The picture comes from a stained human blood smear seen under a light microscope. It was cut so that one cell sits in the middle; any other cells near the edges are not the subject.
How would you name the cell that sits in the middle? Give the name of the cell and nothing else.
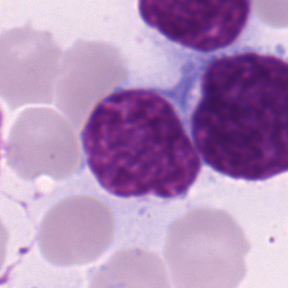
myeloblast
